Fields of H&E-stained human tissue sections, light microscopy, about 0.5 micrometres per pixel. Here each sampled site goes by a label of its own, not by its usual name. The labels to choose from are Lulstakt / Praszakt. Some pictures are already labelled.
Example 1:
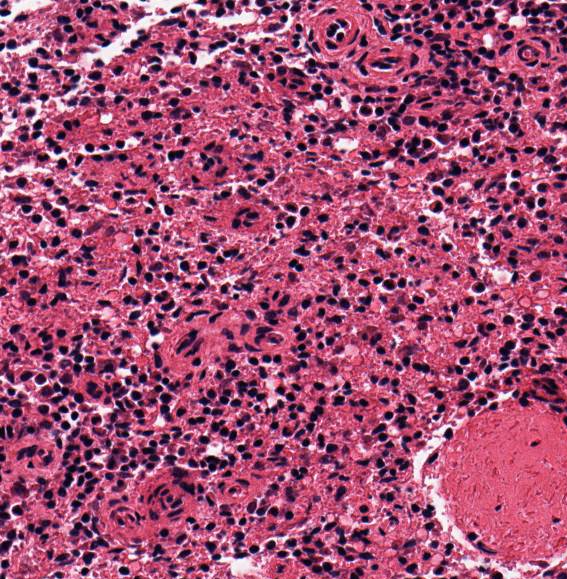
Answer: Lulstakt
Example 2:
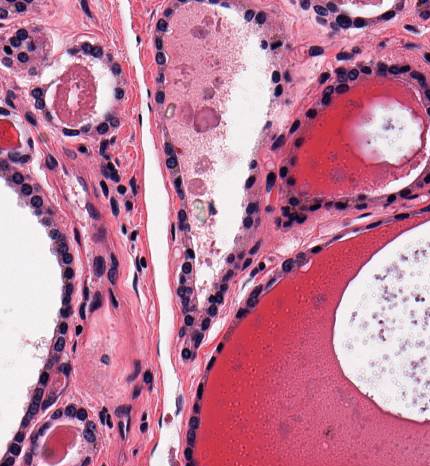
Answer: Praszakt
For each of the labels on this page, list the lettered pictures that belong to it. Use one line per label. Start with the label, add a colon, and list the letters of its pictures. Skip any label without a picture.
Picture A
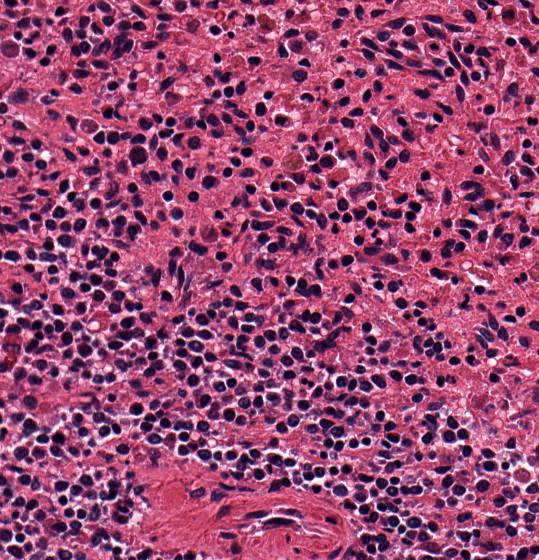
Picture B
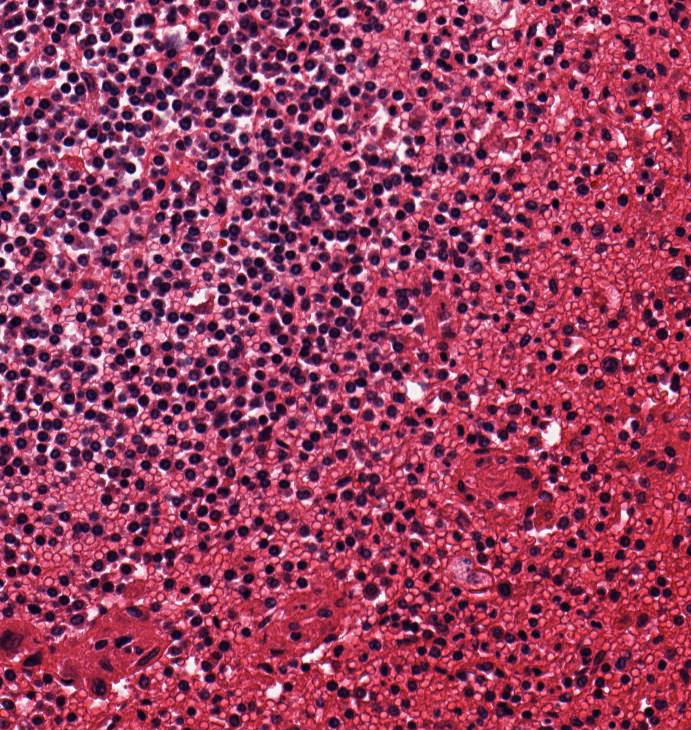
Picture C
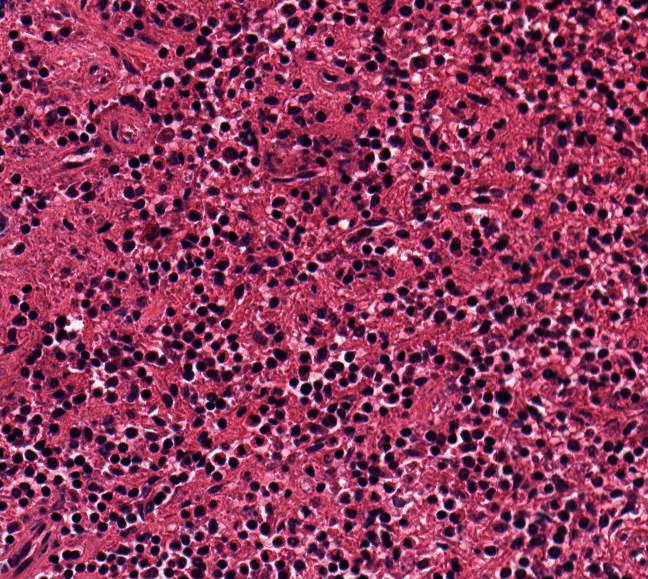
Lulstakt: A, B, C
